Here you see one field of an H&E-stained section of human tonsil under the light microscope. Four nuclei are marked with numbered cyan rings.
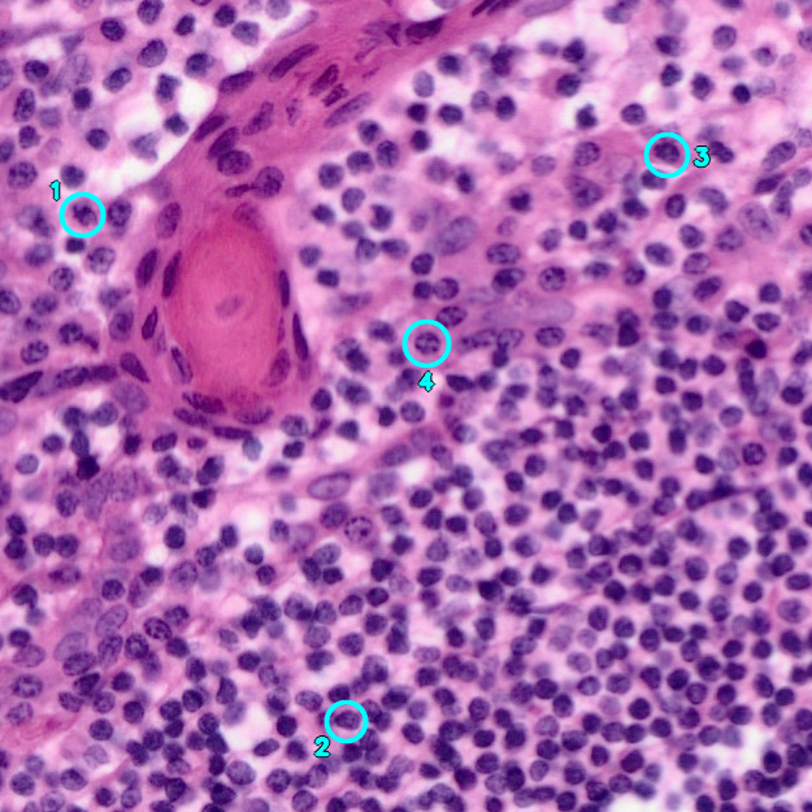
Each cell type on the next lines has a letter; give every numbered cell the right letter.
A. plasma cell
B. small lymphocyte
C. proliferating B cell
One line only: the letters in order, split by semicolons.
A; B; A; A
